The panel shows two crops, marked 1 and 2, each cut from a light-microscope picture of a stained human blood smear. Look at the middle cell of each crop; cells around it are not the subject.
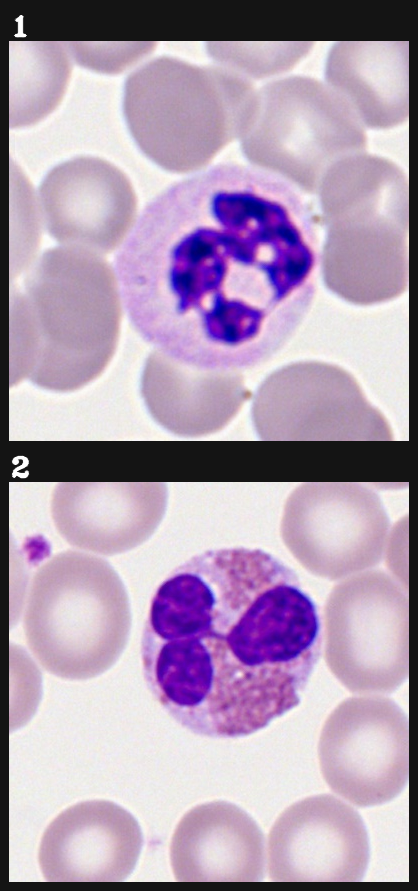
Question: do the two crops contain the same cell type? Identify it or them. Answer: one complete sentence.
No, it is a segmented neutrophil in crop 1 and an eosinophil in crop 2.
